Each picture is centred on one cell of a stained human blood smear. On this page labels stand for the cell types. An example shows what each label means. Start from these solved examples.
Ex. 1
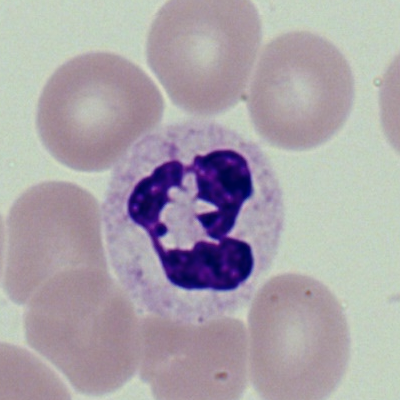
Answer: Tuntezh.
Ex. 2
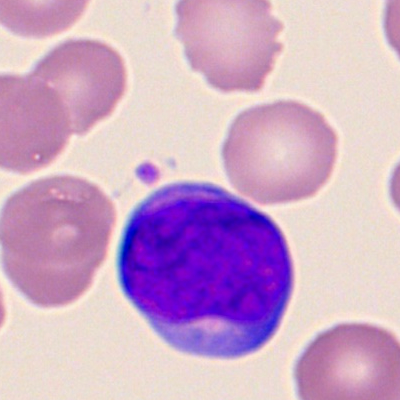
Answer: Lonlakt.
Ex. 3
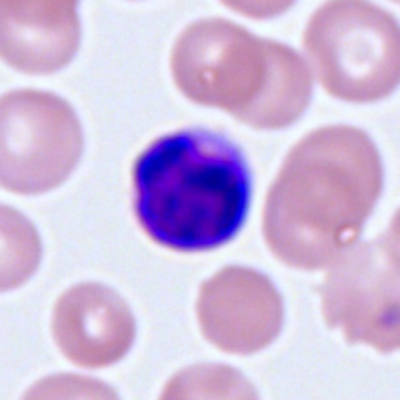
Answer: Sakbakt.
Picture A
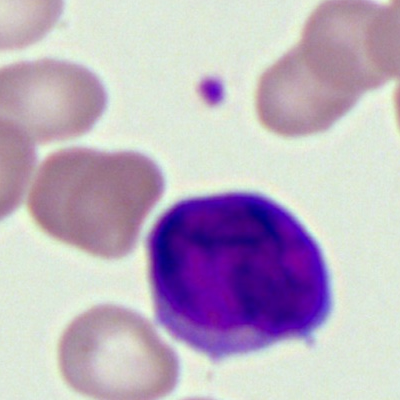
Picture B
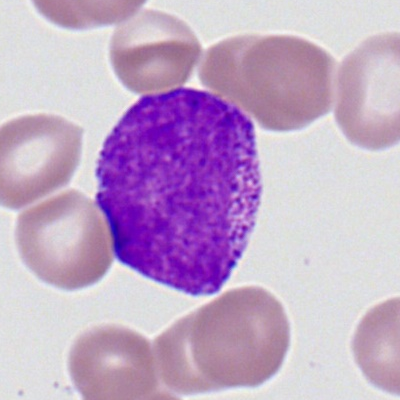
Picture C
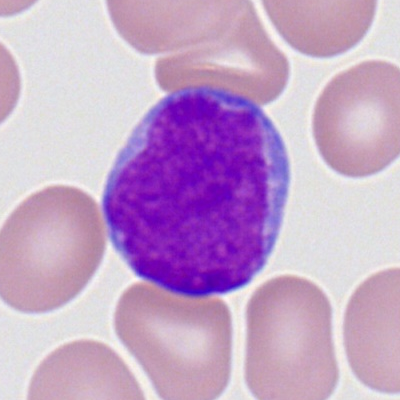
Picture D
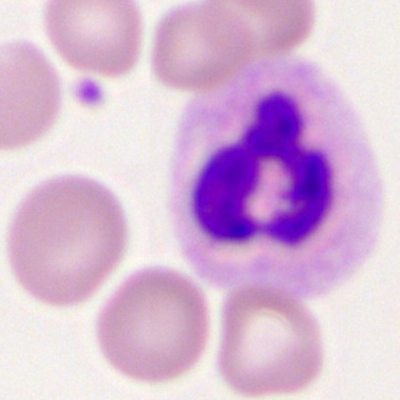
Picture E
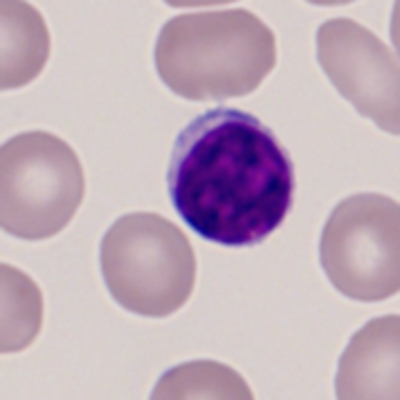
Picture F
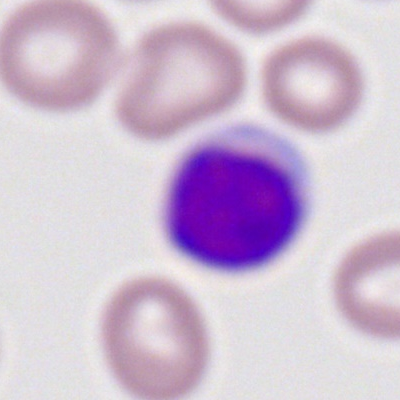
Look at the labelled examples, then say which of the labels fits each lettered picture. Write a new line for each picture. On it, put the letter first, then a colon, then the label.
A: Lonlakt.
B: Lonlakt.
C: Lonlakt.
D: Tuntezh.
E: Sakbakt.
F: Sakbakt.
